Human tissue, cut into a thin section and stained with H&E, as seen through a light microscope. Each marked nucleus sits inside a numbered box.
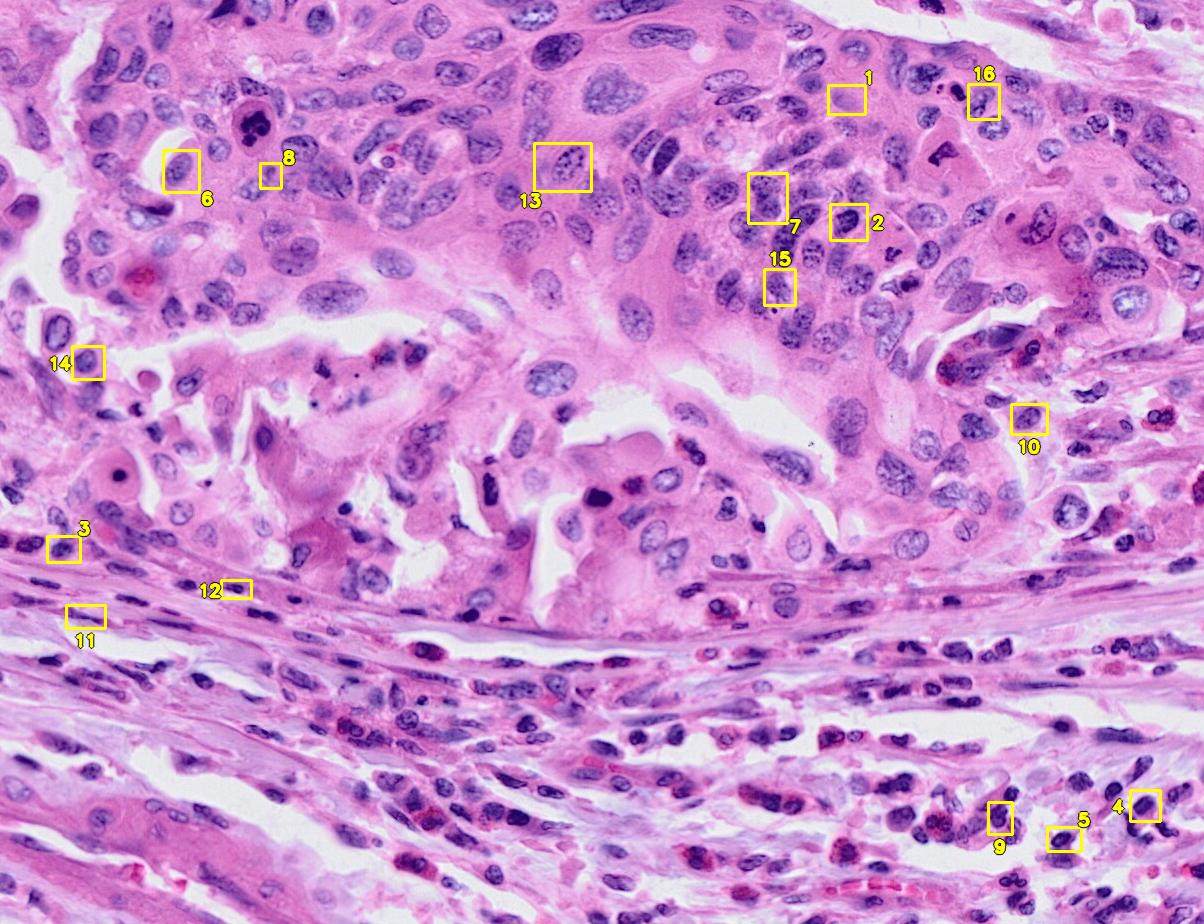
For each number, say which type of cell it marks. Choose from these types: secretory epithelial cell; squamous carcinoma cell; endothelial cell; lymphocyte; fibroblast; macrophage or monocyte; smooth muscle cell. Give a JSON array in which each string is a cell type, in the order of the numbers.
["squamous carcinoma cell", "squamous carcinoma cell", "lymphocyte", "lymphocyte", "lymphocyte", "squamous carcinoma cell", "squamous carcinoma cell", "squamous carcinoma cell", "lymphocyte", "macrophage or monocyte", "fibroblast", "lymphocyte", "squamous carcinoma cell", "squamous carcinoma cell", "squamous carcinoma cell", "squamous carcinoma cell"]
